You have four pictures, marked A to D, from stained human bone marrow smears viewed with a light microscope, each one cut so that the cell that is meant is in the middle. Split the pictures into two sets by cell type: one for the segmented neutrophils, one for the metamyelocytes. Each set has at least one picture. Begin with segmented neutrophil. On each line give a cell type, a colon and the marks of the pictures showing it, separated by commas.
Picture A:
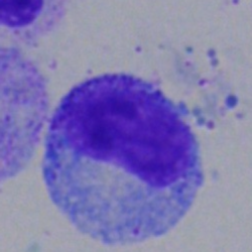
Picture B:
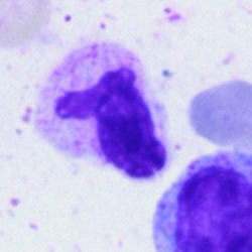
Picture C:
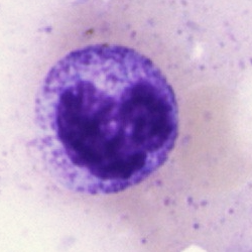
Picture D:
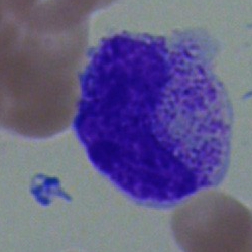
segmented neutrophil: B
metamyelocyte: A, C, D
